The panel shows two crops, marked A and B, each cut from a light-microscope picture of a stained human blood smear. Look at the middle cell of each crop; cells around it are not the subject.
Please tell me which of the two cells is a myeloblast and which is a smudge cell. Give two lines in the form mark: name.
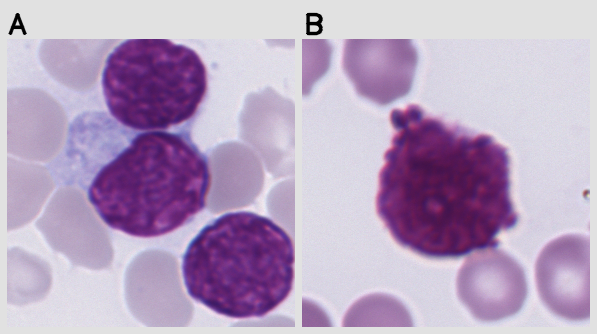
A: myeloblast
B: smudge cell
